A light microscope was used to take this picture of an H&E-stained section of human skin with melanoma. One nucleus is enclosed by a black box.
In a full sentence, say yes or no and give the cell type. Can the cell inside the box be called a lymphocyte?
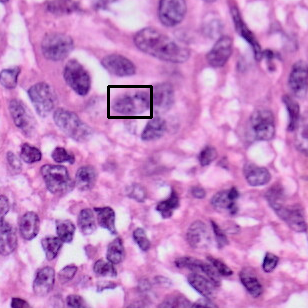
No, the cell inside the box is a melanoma cell and should not be read as a lymphocyte.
